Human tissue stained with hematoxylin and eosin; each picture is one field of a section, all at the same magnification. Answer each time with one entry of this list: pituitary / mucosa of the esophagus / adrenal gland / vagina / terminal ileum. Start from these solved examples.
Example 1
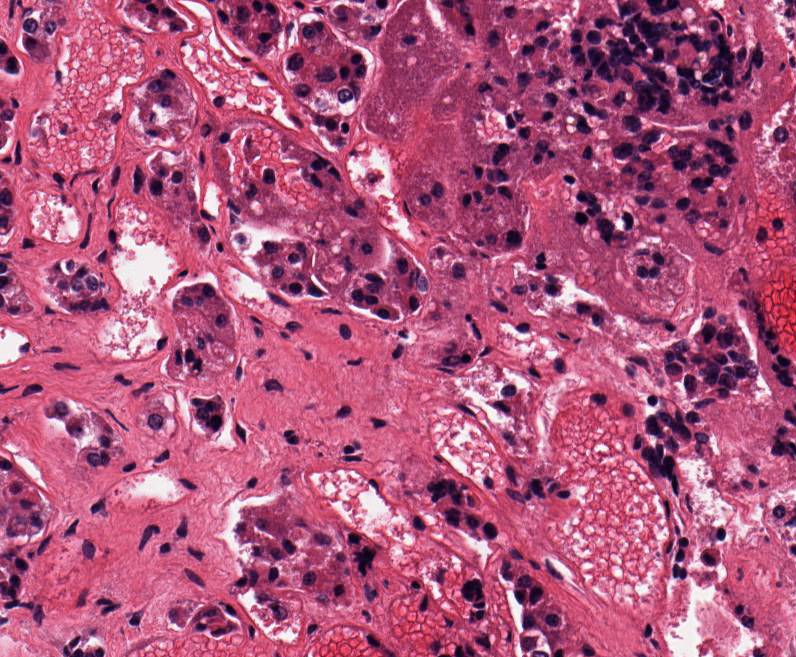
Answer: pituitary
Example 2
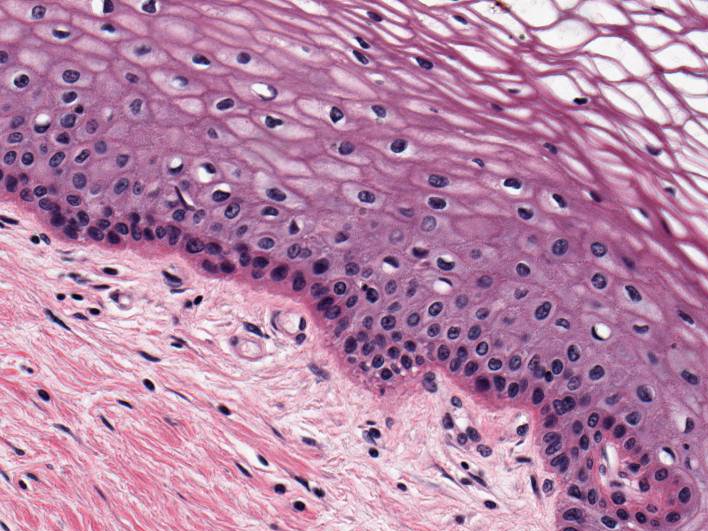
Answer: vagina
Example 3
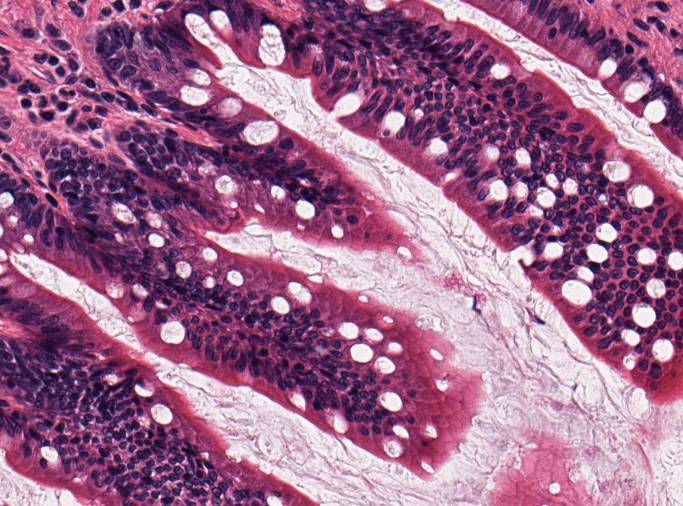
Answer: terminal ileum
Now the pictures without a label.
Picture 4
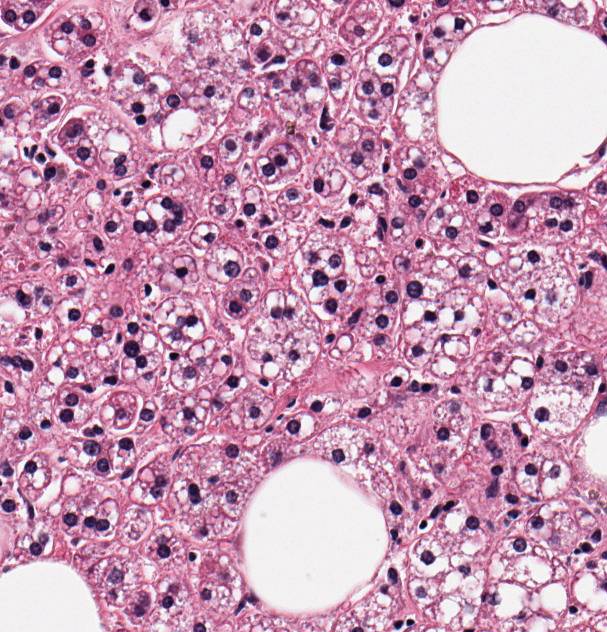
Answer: adrenal gland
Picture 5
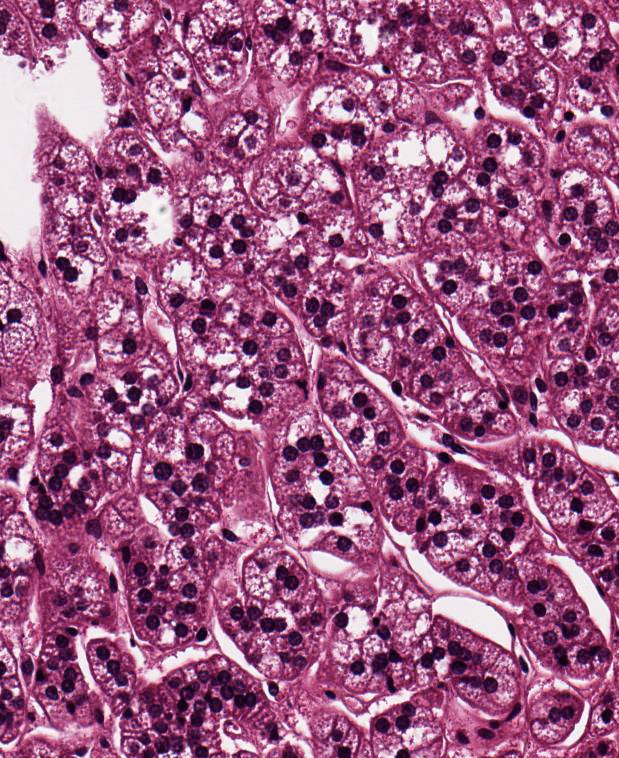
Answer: adrenal gland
